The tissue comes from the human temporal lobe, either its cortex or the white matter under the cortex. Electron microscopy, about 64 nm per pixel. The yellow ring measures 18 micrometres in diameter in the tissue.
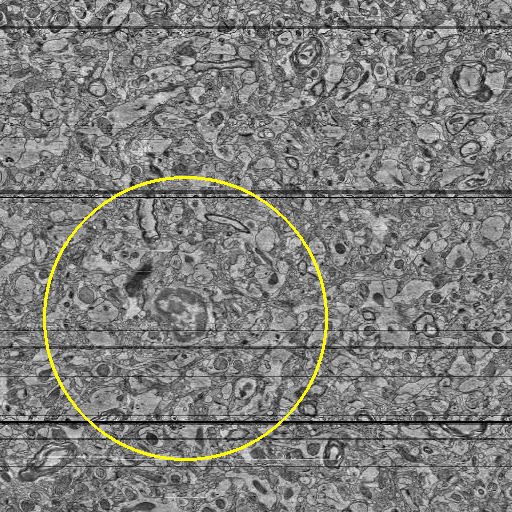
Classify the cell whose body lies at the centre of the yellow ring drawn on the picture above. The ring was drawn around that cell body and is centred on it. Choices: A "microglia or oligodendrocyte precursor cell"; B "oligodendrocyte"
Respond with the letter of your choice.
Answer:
B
